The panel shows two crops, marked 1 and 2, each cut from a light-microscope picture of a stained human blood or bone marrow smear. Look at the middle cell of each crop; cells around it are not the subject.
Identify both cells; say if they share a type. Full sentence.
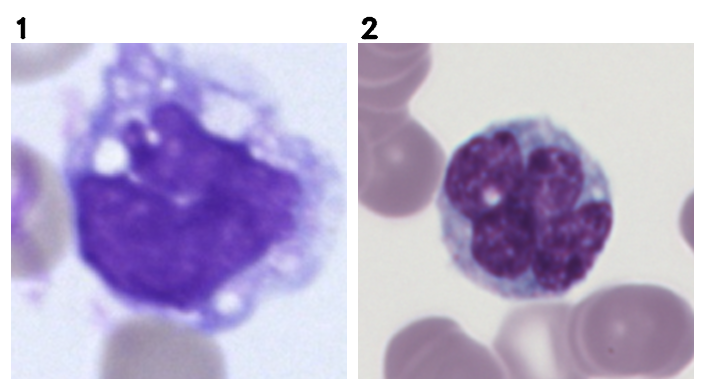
Yes, monocytes are the cells in the middle of both crops.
